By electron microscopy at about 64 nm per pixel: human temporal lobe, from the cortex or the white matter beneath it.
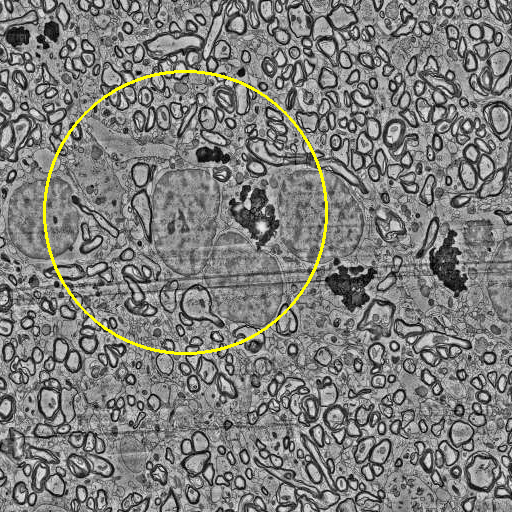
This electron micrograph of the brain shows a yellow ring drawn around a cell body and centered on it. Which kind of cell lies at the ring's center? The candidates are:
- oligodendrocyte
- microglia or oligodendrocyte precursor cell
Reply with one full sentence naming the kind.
The cell lying at the ring's center in this micrograph is an oligodendrocyte.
